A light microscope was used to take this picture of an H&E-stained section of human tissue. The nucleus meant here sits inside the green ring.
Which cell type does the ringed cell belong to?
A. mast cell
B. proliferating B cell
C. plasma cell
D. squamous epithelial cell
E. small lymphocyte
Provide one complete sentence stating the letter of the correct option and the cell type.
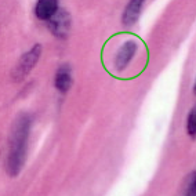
Option A matches the ringed cell, which is a mast cell.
